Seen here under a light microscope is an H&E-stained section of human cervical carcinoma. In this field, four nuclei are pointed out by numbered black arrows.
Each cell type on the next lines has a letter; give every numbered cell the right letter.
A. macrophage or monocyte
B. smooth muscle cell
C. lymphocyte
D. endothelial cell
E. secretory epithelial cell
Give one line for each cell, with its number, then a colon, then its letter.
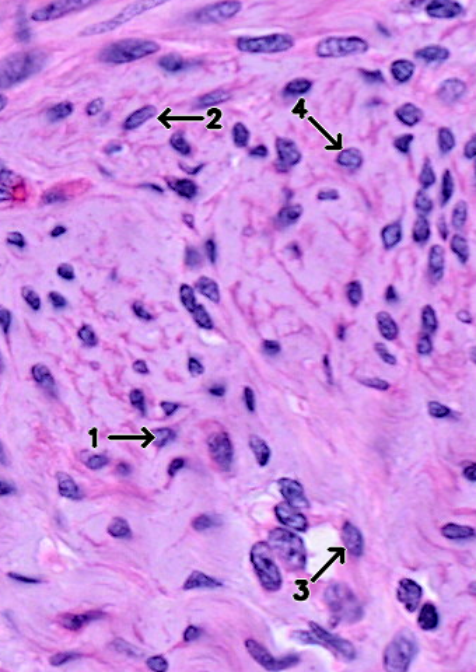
1: B
2: B
3: D
4: B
